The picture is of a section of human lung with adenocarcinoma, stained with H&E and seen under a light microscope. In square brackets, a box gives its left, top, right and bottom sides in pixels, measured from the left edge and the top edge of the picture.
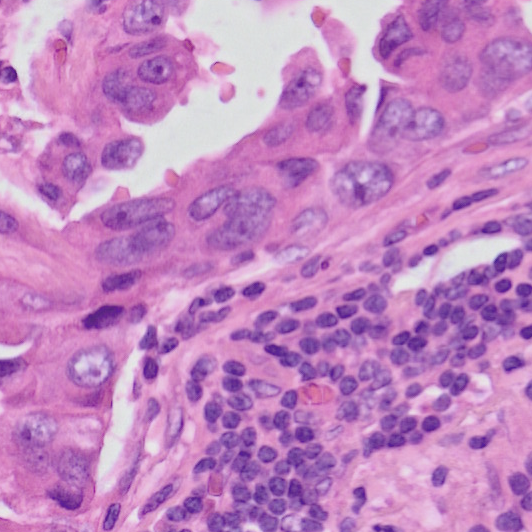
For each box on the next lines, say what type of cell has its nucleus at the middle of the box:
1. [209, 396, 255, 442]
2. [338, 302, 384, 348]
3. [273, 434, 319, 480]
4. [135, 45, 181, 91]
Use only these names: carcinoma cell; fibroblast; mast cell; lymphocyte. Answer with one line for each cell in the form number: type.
1: lymphocyte
2: lymphocyte
3: lymphocyte
4: carcinoma cell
